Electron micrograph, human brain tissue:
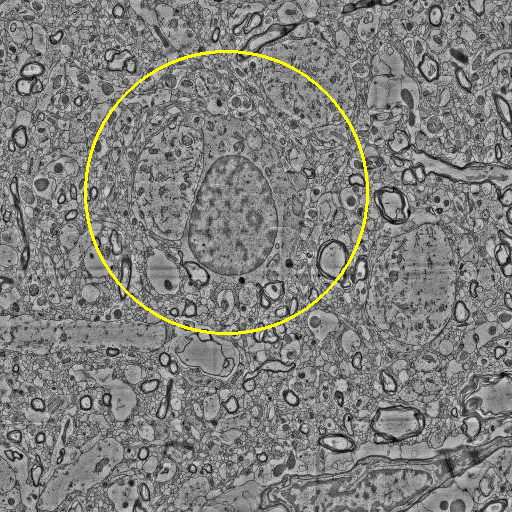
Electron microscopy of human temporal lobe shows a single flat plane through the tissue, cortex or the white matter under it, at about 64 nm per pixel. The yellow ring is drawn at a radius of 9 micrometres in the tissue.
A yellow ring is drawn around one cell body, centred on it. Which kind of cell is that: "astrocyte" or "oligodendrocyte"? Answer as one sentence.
It is an oligodendrocyte at the centre of the ring.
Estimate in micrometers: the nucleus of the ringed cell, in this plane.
In this plane the nucleus spans approximately 8 by 6 micrometers.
